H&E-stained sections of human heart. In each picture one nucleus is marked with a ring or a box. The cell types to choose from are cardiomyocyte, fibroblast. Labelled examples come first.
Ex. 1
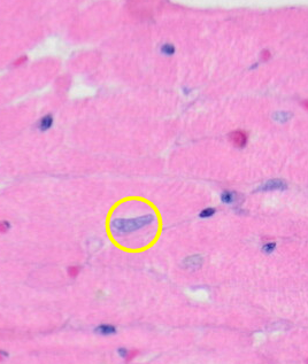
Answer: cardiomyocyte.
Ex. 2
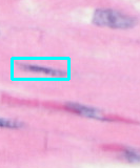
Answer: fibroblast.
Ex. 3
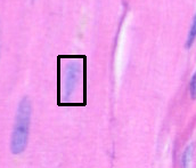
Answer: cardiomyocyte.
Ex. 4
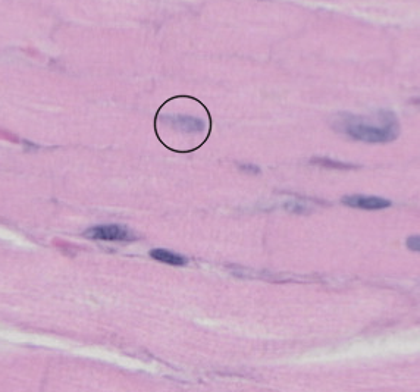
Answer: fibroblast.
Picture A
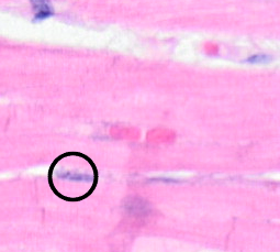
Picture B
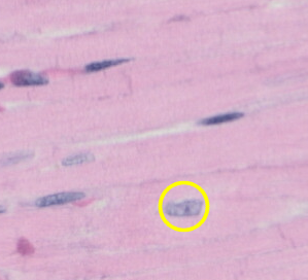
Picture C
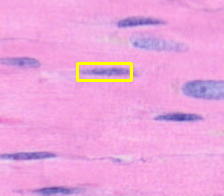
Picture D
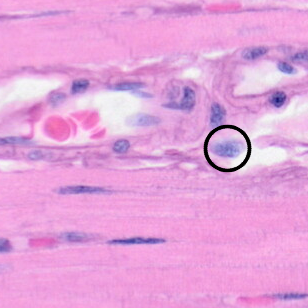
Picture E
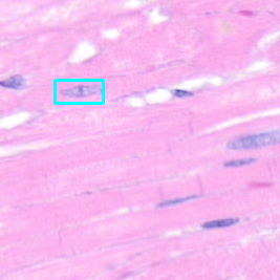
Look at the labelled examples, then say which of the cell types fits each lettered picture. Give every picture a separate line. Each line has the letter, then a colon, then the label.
A: fibroblast.
B: cardiomyocyte.
C: fibroblast.
D: fibroblast.
E: cardiomyocyte.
